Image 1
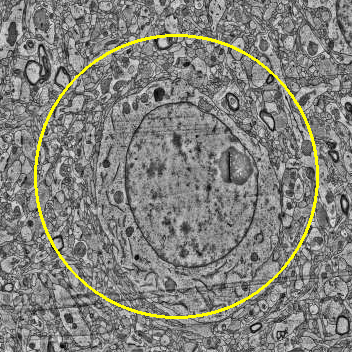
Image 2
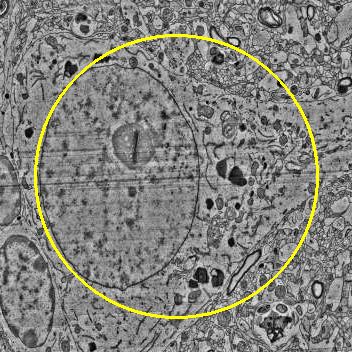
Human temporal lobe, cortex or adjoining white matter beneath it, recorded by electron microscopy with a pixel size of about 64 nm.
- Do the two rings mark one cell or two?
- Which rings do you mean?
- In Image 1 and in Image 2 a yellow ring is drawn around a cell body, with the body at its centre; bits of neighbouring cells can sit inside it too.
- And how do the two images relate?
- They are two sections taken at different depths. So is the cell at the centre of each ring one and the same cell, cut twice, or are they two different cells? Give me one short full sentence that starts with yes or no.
No, the yellow rings mark two cells that are not the same.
